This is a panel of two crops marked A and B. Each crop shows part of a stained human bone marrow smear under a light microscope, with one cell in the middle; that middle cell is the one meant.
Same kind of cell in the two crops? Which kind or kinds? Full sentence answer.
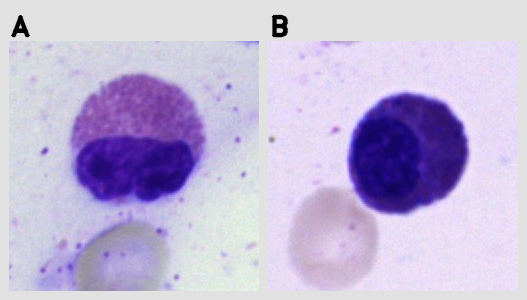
Yes, both crops show a cell each, and these are eosinophils.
